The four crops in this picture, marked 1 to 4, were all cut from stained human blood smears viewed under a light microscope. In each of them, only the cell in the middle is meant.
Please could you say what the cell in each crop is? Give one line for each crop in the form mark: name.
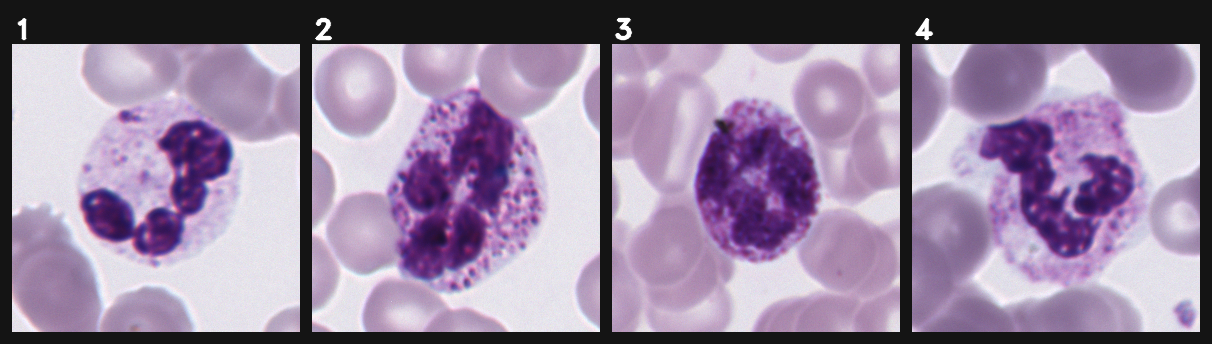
1: segmented neutrophil
2: basophil
3: basophil
4: segmented neutrophil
